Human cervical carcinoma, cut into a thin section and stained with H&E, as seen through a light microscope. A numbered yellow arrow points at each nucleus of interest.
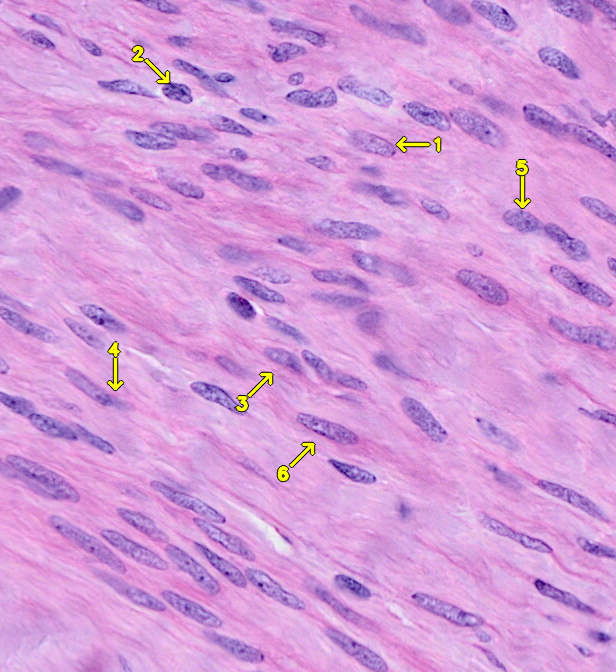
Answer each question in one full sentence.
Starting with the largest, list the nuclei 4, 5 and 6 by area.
From largest to smallest, the order is 6, 5, 4.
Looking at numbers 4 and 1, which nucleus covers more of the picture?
It is nucleus 1, which covers about 2 times the area of nucleus 4.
